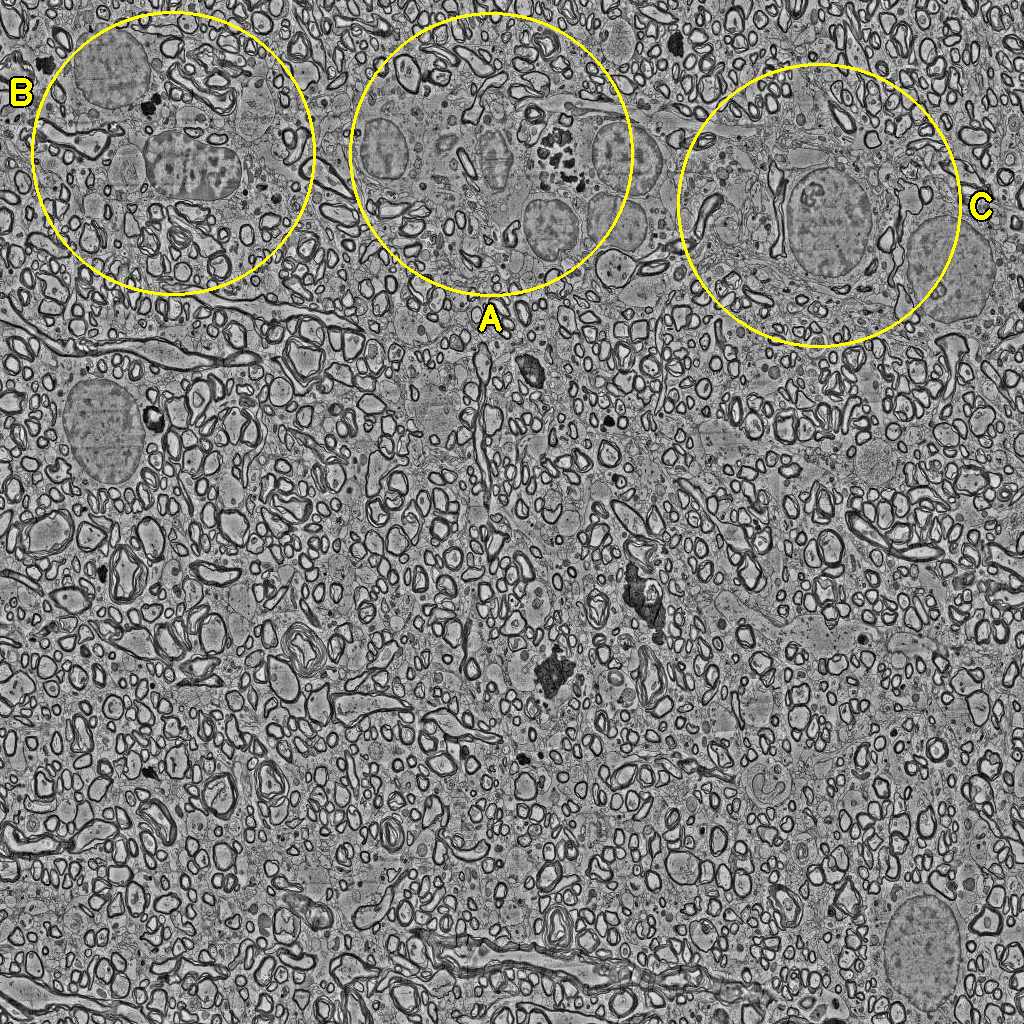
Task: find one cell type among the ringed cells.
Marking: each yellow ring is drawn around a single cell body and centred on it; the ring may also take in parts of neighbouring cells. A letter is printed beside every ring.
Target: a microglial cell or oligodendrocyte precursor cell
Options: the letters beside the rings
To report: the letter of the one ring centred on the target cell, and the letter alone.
B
